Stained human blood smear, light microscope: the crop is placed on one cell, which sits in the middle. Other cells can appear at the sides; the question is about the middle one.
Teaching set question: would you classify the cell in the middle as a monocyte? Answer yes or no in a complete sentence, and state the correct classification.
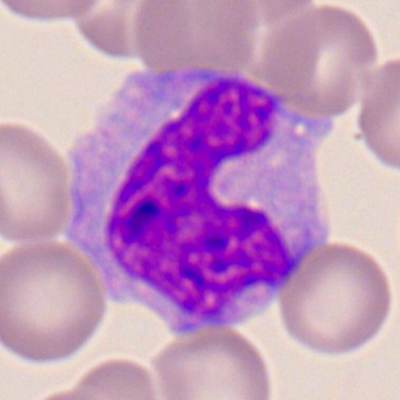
Yes, the cell in the centre is a monocyte.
